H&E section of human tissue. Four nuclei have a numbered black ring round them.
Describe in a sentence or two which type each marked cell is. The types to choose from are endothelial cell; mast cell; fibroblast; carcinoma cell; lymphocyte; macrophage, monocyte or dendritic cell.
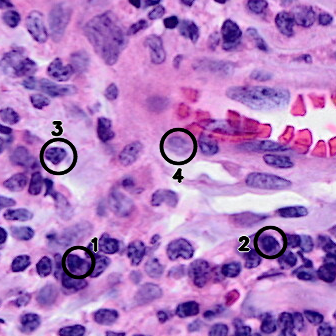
Cells 1, 2 and 3 are lymphocytes. Cell 4 is an endothelial cell.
